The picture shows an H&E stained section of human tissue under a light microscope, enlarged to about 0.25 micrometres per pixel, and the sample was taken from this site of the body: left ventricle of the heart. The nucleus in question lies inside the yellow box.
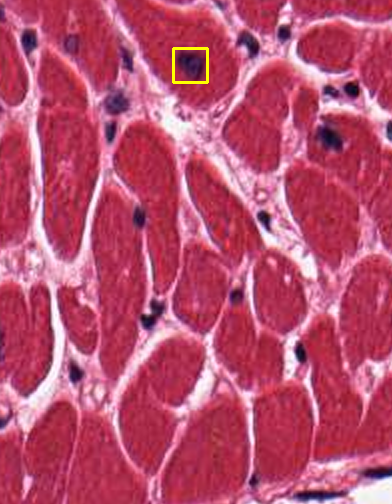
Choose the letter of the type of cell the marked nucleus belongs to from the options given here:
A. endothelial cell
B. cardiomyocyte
B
